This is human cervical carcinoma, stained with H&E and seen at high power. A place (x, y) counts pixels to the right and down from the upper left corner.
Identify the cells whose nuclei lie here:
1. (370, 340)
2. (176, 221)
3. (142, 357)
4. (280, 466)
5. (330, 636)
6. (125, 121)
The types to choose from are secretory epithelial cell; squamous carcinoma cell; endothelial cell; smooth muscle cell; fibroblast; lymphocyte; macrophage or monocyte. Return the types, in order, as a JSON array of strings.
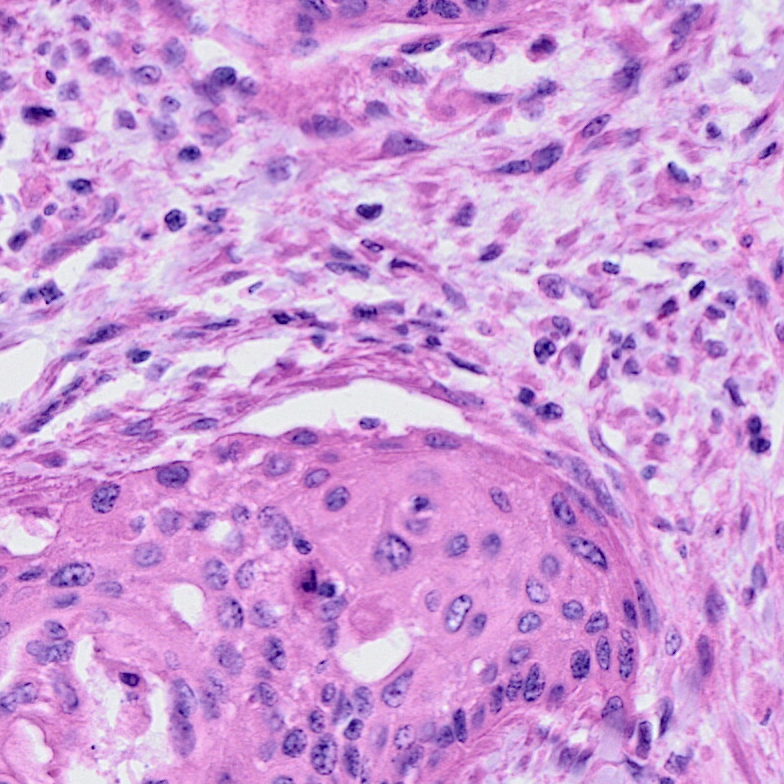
["fibroblast", "lymphocyte", "lymphocyte", "squamous carcinoma cell", "squamous carcinoma cell", "fibroblast"]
